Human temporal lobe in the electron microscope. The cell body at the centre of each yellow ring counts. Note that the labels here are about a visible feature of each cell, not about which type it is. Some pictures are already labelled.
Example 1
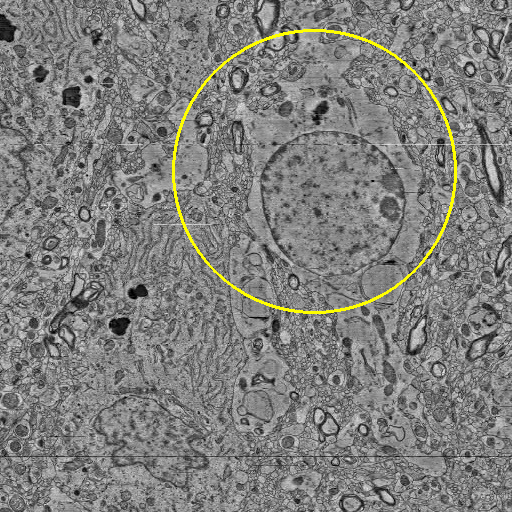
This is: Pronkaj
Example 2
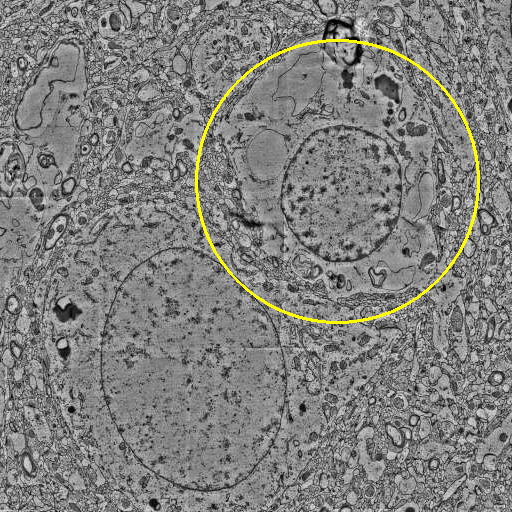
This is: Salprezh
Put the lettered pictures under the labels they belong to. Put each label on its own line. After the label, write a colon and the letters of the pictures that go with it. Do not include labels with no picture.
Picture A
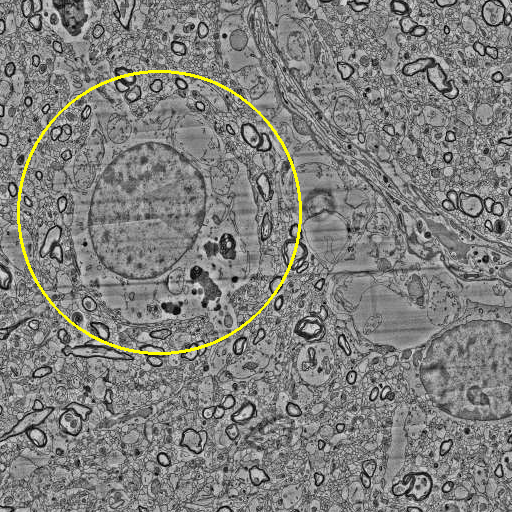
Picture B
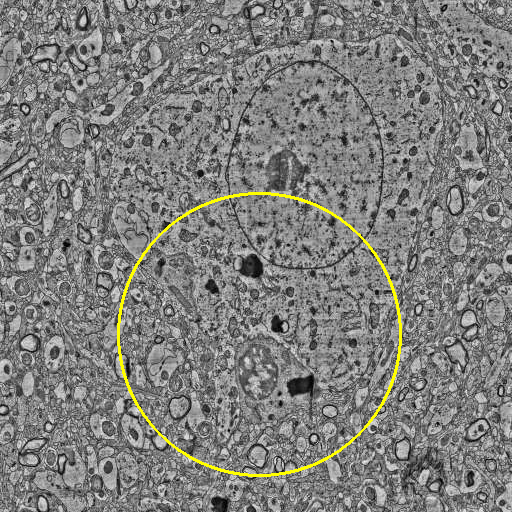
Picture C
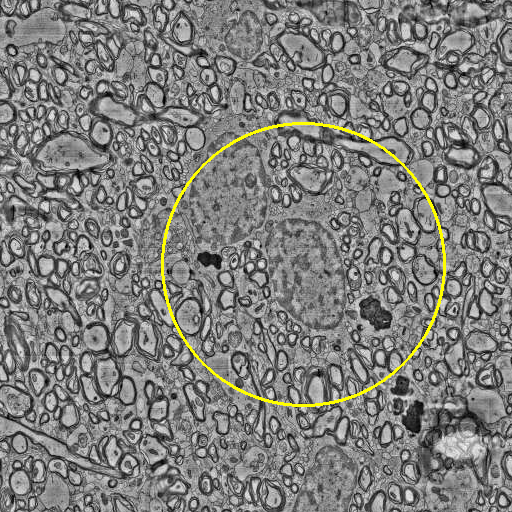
Salprezh: A, B, C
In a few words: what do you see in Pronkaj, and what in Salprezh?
Pronkaj, nucleolus seen; Salprezh, no nucleolus seen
